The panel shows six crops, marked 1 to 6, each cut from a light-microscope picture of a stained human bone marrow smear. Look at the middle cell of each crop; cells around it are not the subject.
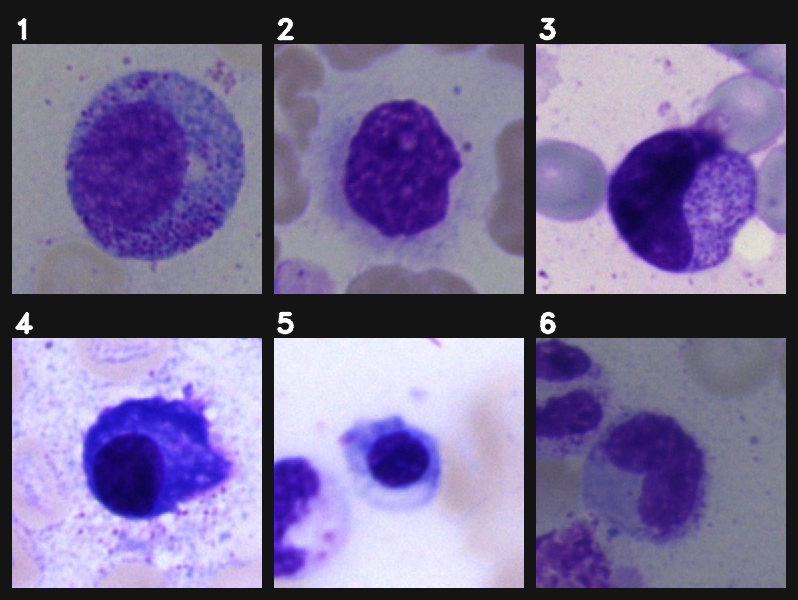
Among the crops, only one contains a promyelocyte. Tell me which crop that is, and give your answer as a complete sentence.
The crop showing a promyelocyte in this series is crop 1.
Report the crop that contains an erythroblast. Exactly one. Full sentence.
Crop 5 is the crop featuring an erythroblast at its center.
